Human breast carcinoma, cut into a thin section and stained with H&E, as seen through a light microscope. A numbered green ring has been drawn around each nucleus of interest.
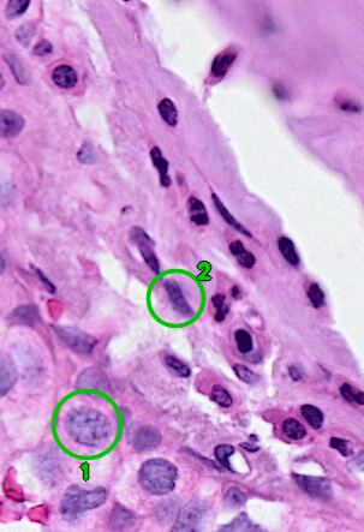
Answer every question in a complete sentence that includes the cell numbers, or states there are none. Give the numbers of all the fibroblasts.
Only the cell marked 2 is a fibroblast.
